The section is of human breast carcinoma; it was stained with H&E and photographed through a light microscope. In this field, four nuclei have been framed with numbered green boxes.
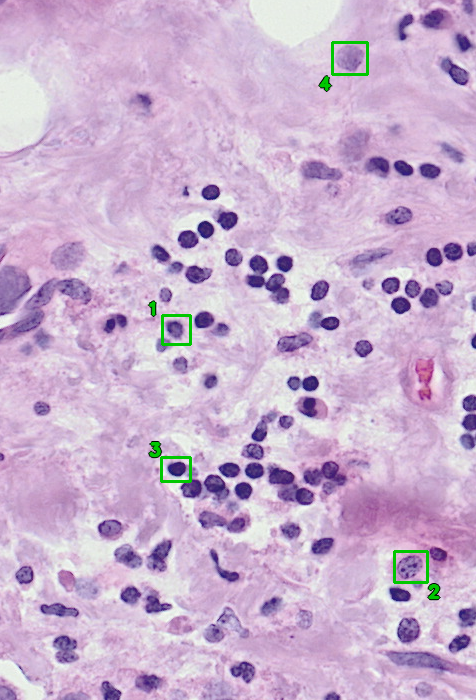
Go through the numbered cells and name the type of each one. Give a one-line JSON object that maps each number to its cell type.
{"1": "lymphocyte", "2": "mast cell", "3": "lymphocyte", "4": "fibroblast"}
